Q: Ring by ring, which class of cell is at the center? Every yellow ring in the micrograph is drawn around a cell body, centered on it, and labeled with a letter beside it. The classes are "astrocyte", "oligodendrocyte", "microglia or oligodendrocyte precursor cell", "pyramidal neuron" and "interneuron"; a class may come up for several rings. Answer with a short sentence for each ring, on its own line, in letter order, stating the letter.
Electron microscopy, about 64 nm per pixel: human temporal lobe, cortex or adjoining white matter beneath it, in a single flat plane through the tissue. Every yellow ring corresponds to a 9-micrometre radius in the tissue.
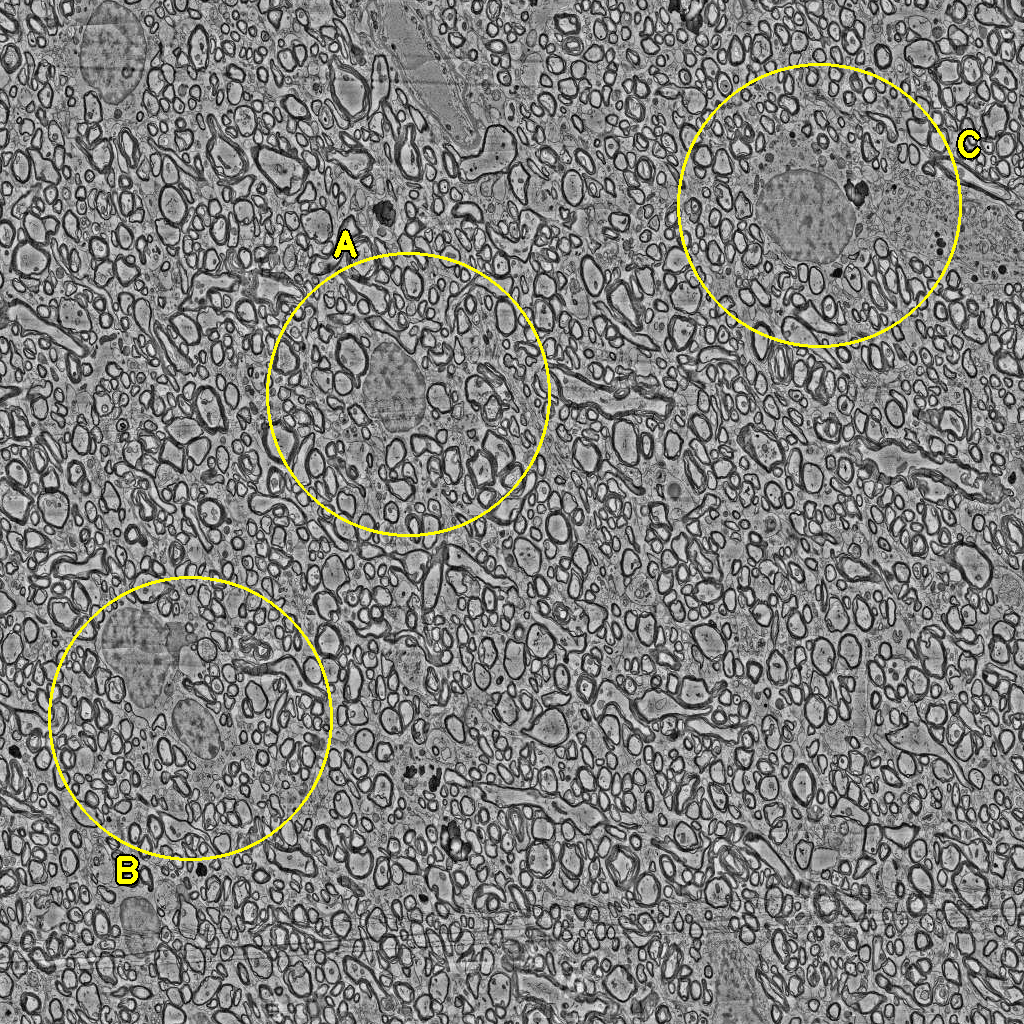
Ring A holds an oligodendrocyte at its center.
Ring B holds a microglial cell or oligodendrocyte precursor cell at its center.
Ring C holds an oligodendrocyte at its center.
